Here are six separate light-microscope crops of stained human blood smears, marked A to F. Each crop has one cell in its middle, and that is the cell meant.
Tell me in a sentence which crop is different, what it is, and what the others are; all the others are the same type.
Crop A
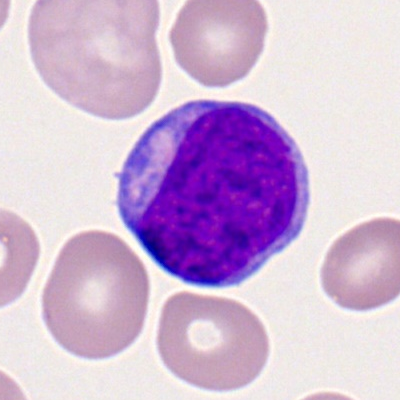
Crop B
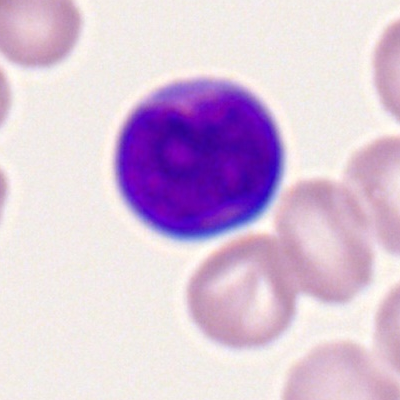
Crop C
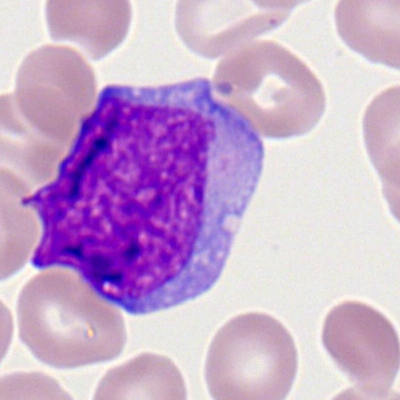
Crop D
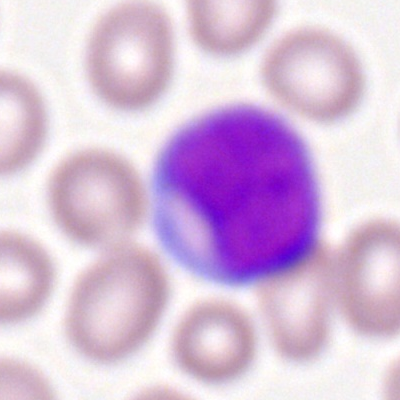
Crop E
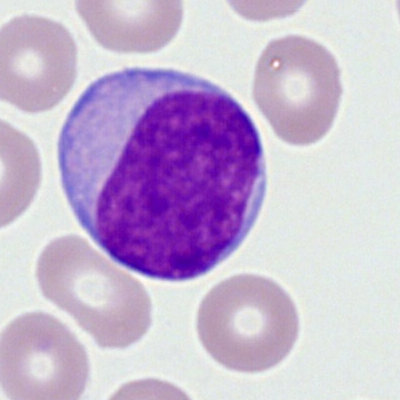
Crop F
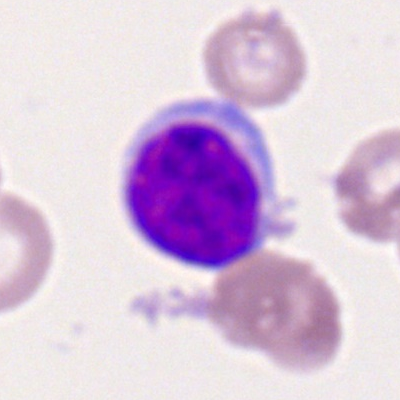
Crop F contains a lymphocyte, setting it apart from the other crops, which all contain blasts.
